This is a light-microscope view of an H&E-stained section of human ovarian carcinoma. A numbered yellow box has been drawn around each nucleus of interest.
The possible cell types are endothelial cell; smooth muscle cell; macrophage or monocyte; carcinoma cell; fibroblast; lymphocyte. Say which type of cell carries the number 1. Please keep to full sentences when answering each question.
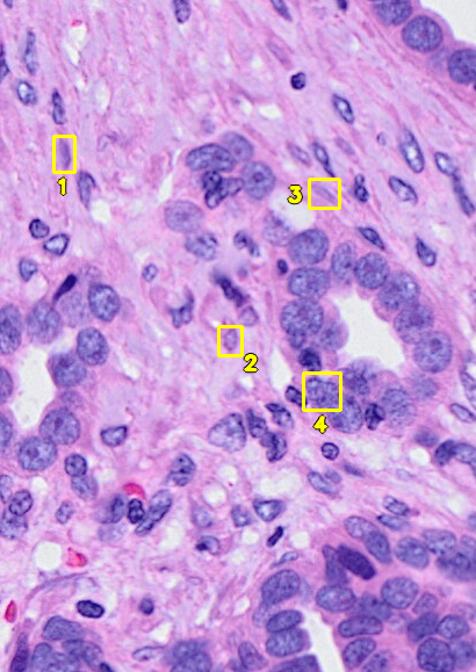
The cell whose nucleus carries the number 1 is a fibroblast.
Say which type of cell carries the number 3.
Denoted by the label 3 in the section is a fibroblast.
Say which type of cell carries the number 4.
Cell 4, among those numbered, is a carcinoma cell.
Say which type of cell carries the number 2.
The numeral 2 marks a fibroblast in this section.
